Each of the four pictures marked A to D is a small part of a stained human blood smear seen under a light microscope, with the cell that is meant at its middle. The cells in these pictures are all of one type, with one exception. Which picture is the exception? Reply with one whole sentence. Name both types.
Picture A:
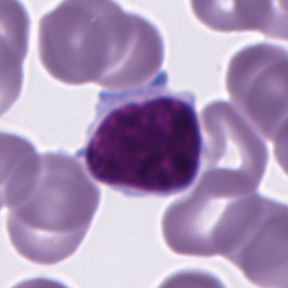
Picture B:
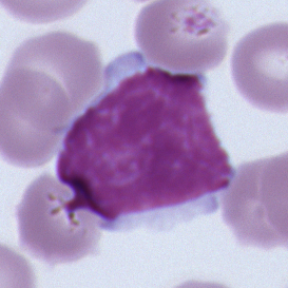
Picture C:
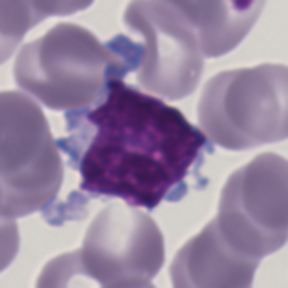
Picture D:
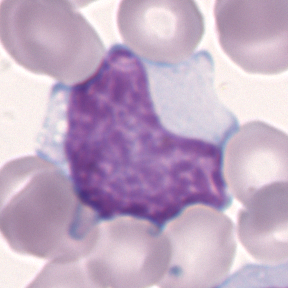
The others show typical lymphocytes, but picture D shows a myeloblast.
